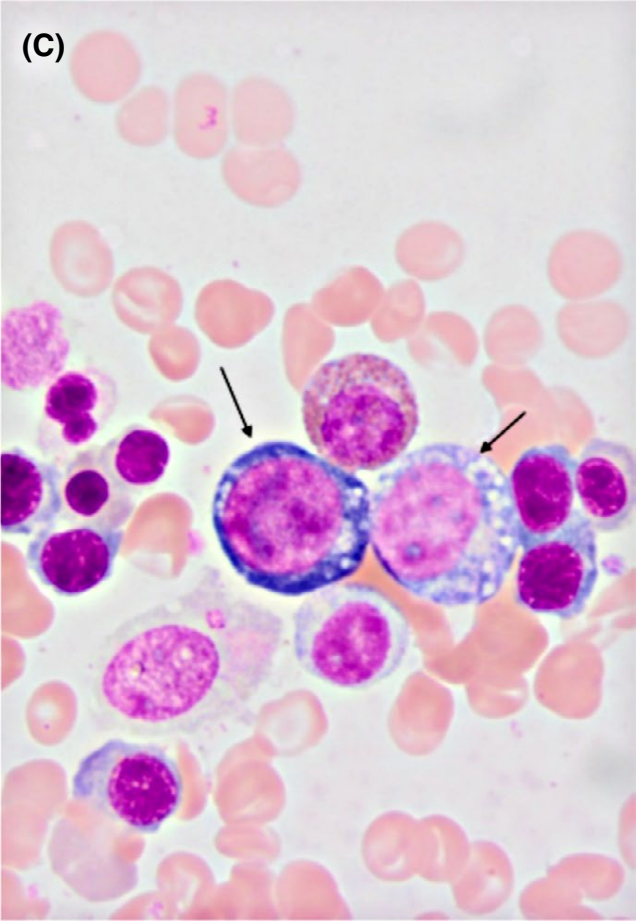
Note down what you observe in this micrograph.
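Among red blood cells lie several nucleated marrow cells, two of them large and round with a round nucleus of finely stippled purple-pink chromatin. One has a thick rim of deep blue cytoplasm and the other paler blue cytoplasm, and both hold small clear round vacuoles in the cytoplasm. Smaller cells nearby have dense dark purple round nuclei. These are erythrocytic precursors whose cytoplasm is vacuolated.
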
